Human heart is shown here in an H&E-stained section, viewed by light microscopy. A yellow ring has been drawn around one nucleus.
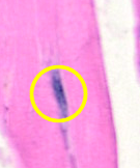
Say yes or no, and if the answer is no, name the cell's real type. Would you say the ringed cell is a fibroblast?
No, it is an endothelial cell.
